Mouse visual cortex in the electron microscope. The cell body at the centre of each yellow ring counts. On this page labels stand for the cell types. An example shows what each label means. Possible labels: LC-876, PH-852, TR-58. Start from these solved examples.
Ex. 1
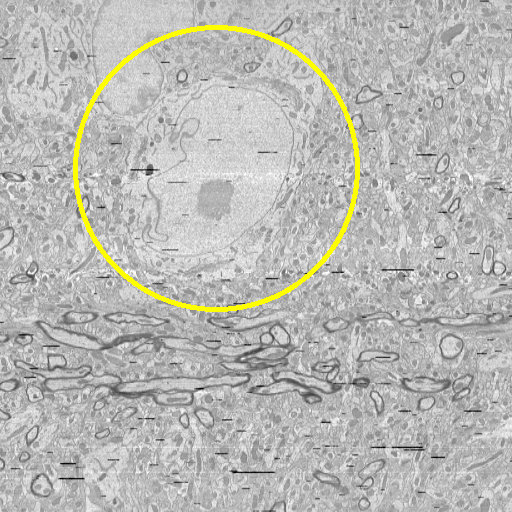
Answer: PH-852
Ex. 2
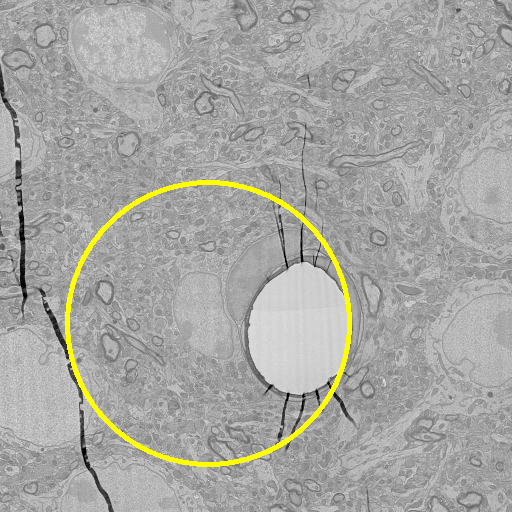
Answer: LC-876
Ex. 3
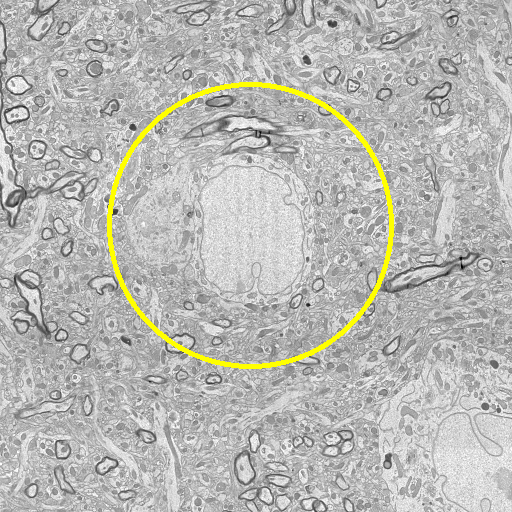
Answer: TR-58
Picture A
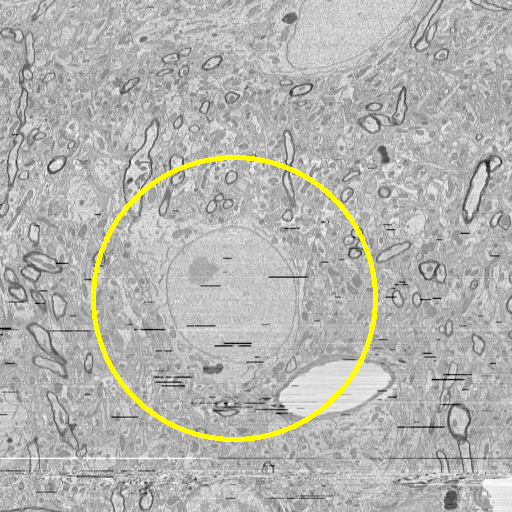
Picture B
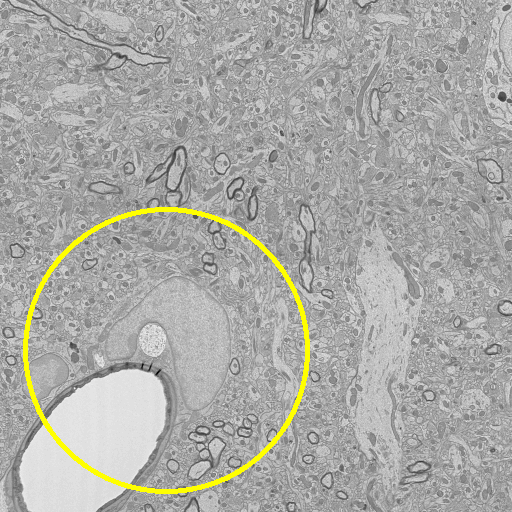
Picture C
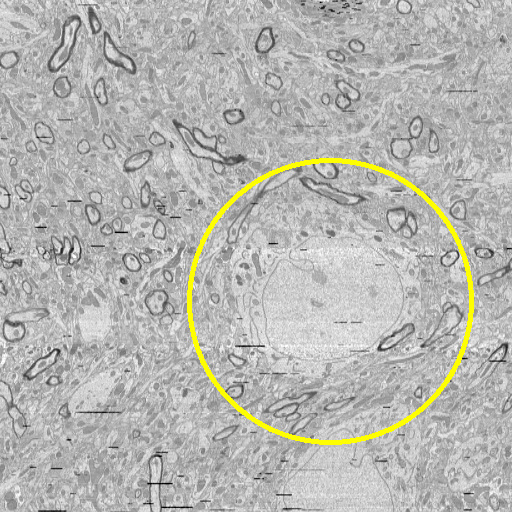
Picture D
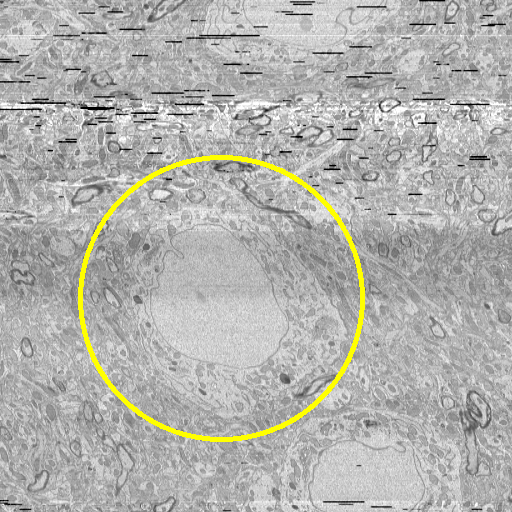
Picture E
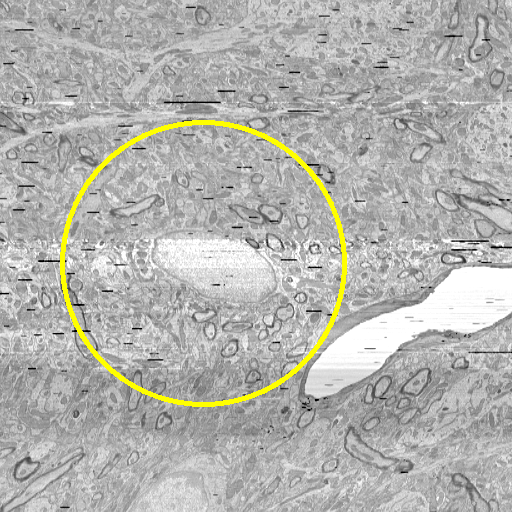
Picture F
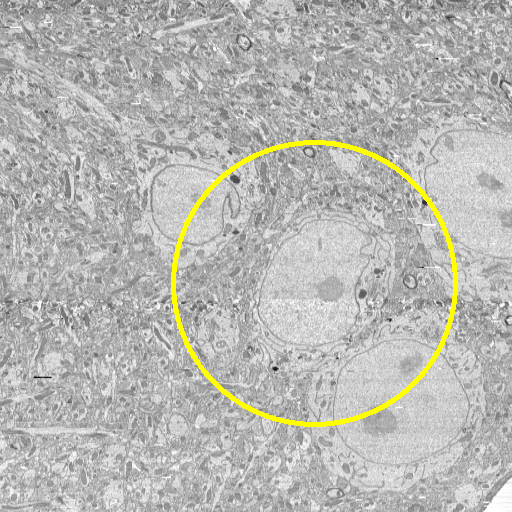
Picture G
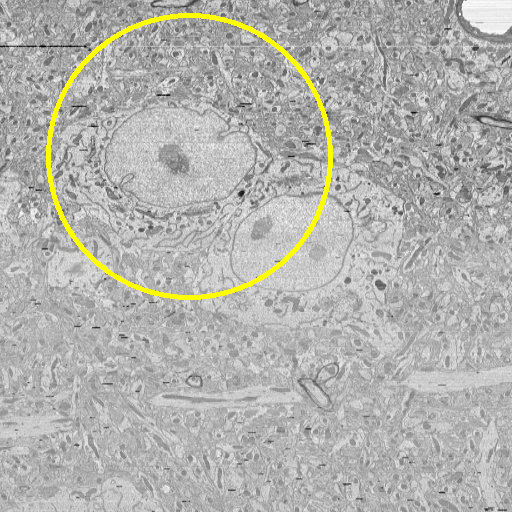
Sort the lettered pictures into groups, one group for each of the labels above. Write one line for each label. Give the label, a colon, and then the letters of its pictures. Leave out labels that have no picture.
LC-876: B, E
PH-852: A, C, D
TR-58: F, G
